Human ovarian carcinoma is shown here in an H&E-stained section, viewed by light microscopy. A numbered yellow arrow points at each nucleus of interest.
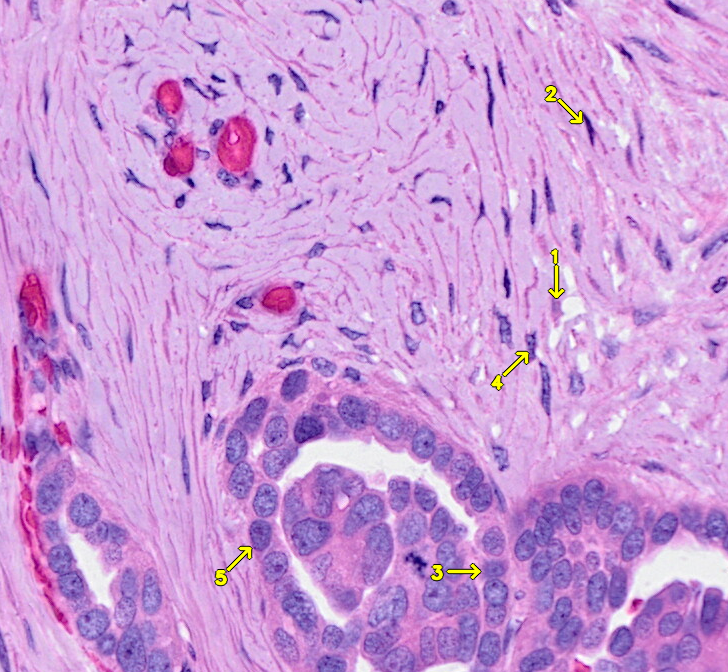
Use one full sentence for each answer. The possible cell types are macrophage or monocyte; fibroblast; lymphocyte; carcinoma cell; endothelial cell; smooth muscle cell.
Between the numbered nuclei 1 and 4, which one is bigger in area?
Nucleus 4 is the larger one, covering about 2.5 times the area of nucleus 1.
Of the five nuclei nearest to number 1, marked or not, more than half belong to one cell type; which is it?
The majority of the five nuclei closest to number 1 belong to fibroblasts.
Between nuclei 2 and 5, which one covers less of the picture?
The smaller nucleus is 2, and 5 covers roughly 2.5 times its area.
